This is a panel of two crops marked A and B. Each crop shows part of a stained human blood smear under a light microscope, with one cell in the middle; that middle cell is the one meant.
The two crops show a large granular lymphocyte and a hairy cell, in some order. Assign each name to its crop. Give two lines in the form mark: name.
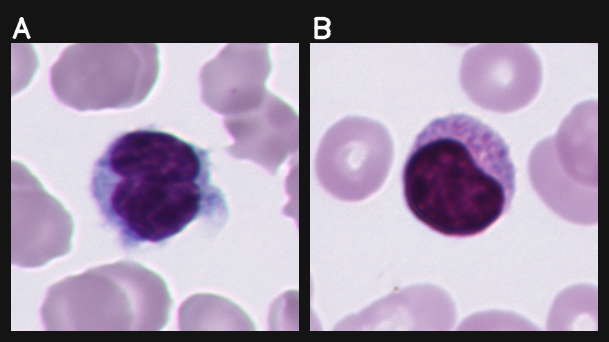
A: hairy cell
B: large granular lymphocyte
